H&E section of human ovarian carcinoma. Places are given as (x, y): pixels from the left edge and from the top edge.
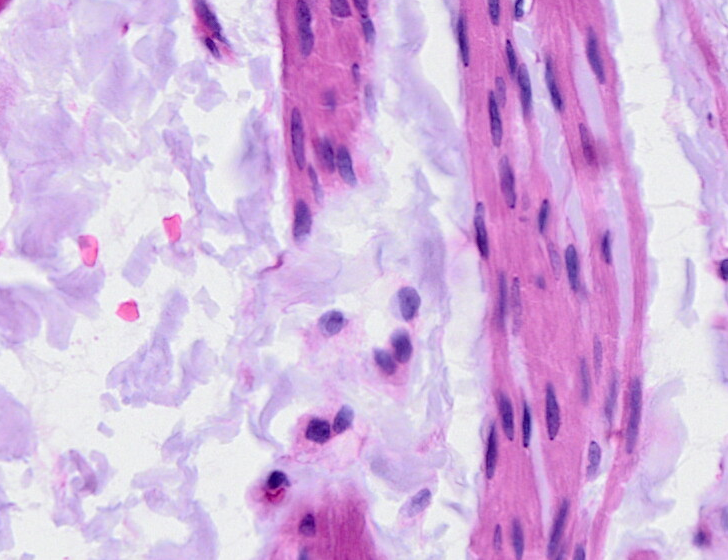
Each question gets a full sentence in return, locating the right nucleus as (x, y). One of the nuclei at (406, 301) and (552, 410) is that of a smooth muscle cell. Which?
Among the two nuclei, the one found at (552, 410) belongs to a smooth muscle cell.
